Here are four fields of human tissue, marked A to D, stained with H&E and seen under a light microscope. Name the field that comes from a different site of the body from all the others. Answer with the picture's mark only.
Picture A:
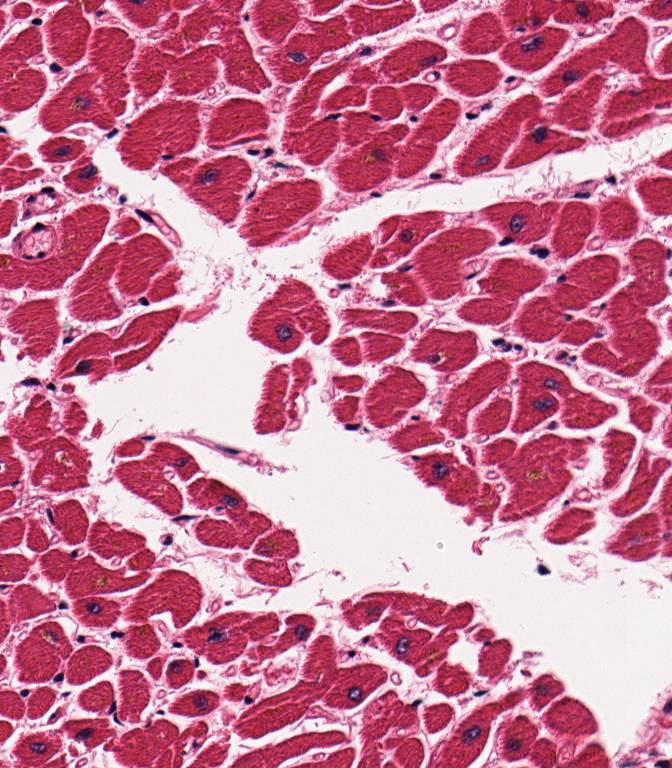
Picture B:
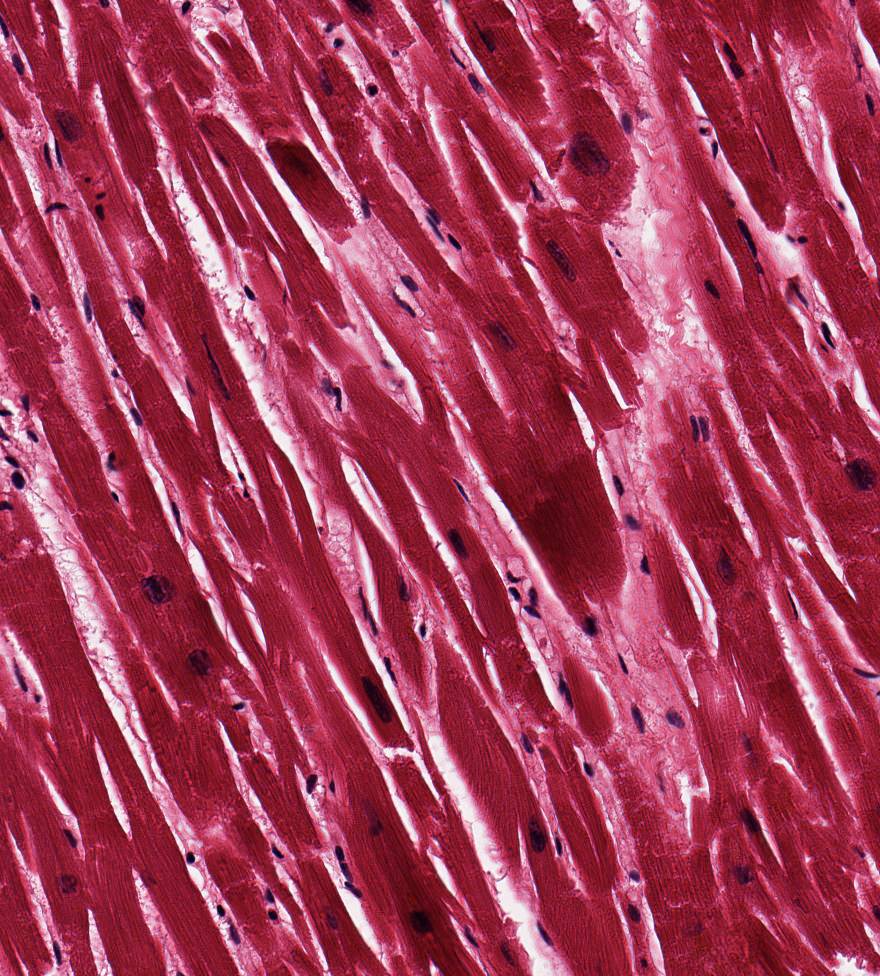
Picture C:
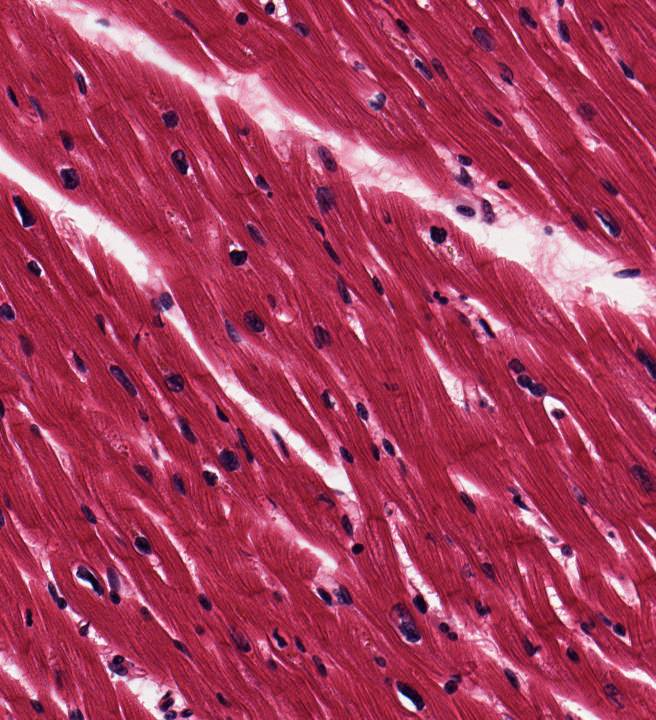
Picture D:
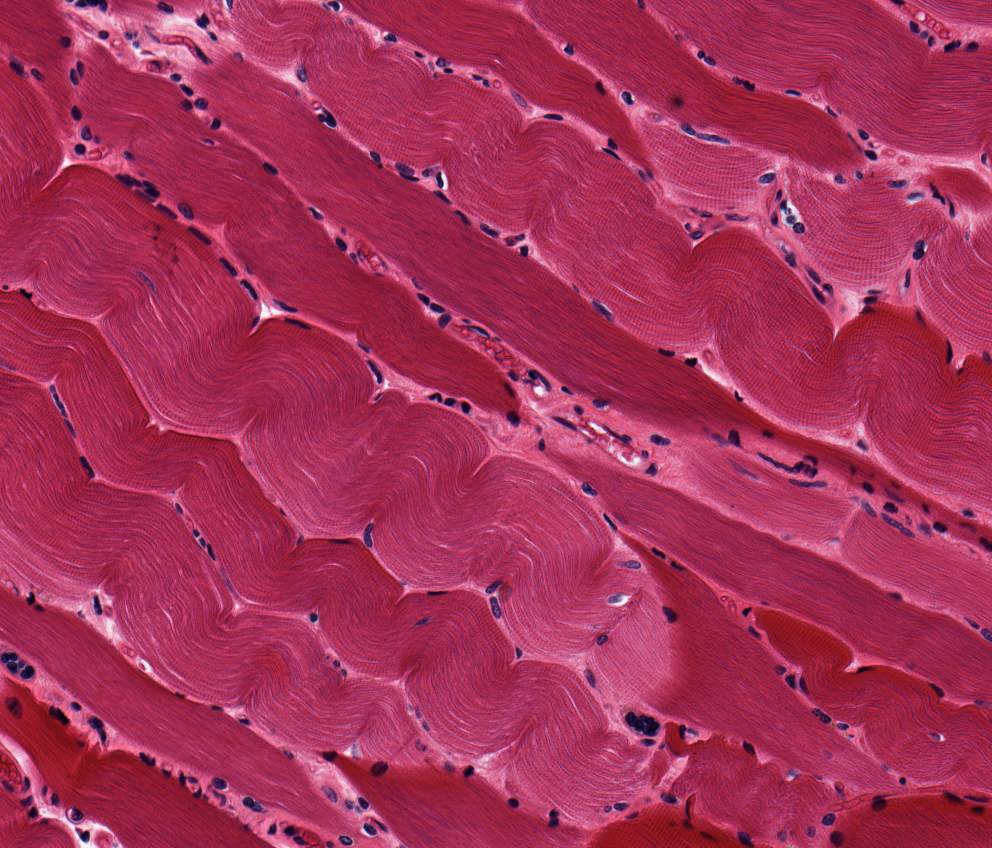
D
